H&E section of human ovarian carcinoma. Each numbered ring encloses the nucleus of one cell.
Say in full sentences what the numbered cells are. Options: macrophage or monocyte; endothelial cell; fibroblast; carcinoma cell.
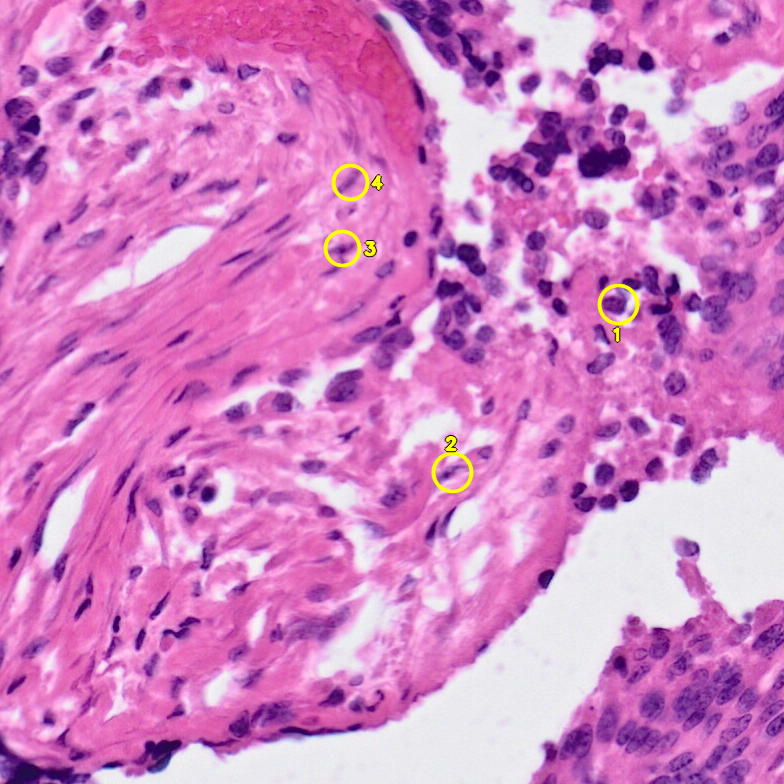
Cell 1 is a carcinoma cell, cell 2 is a fibroblast, cell 3 is a fibroblast and cell 4 is a fibroblast.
